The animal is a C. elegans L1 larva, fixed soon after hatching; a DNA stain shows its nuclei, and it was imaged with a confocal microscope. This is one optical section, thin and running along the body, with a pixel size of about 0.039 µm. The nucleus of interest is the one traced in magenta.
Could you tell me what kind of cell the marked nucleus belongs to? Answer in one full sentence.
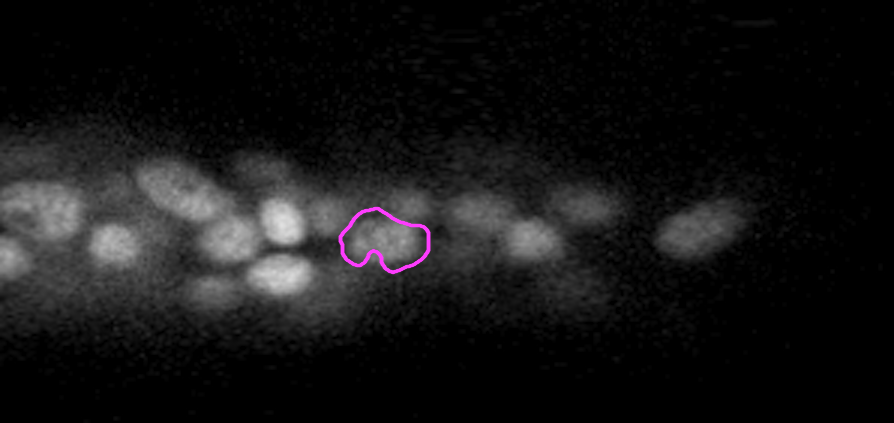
This is the nucleus of a seam cell.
